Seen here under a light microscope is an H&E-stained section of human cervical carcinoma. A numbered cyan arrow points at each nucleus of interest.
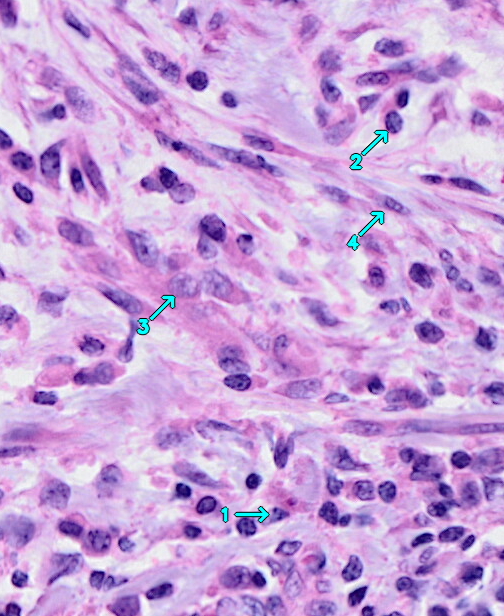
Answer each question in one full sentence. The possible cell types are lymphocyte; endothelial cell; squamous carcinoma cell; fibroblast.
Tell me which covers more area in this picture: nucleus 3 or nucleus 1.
Number 3 is larger; its area is about 1.5 times that of number 1.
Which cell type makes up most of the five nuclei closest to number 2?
Fibroblasts account for more than half of the five nuclei nearest to number 2.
